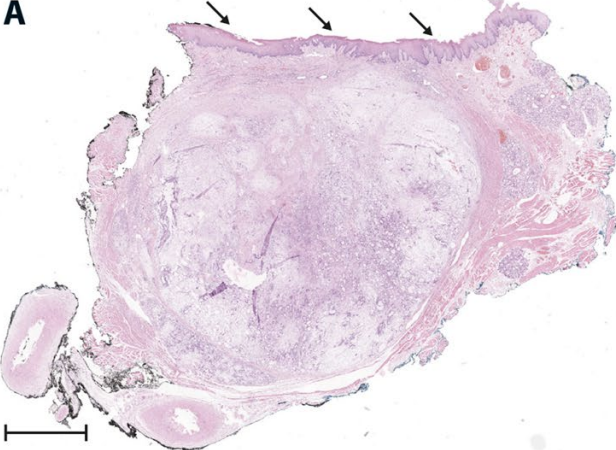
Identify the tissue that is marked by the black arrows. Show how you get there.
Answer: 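The arrows point to a thin, darker pink surface layer along the top edge of the specimen. This surface layer is an epithelial lining with an irregular lower border. The answer: mucosa.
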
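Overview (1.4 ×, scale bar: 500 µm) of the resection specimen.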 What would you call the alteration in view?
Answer: Submucosal tumor.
